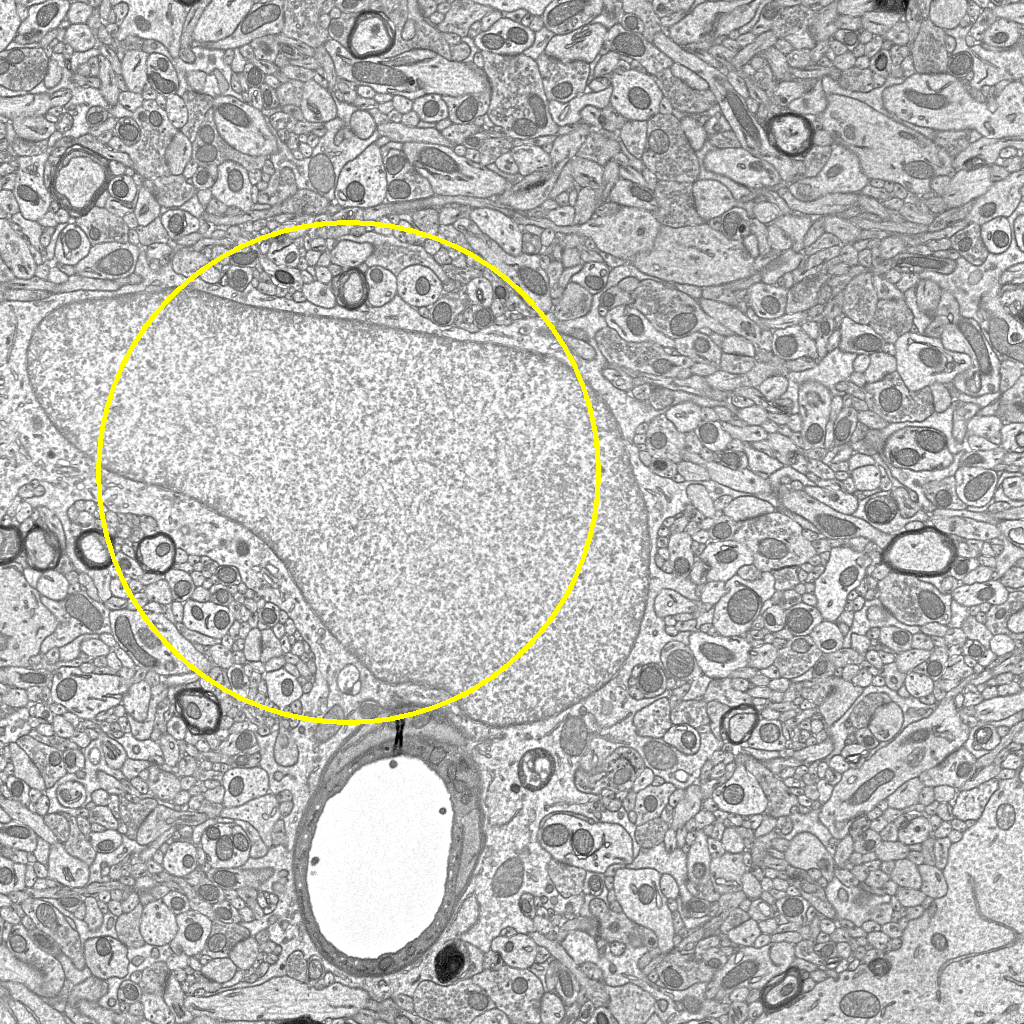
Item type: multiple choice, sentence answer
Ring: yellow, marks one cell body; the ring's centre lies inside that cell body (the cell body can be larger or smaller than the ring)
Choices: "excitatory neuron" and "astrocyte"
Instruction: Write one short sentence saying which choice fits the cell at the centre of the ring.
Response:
The centre of this ring lies on an astrocyte.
